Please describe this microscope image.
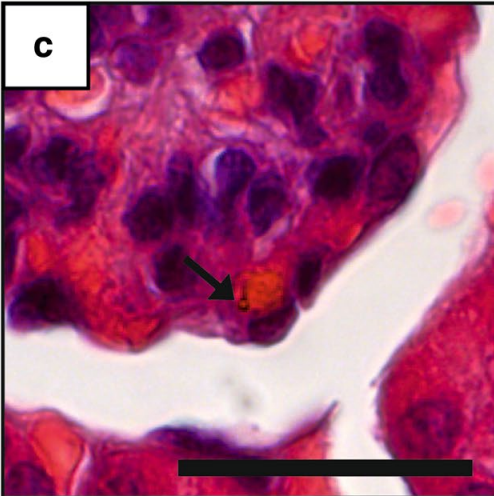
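This is a renal glomerulus: a compact, rounded tuft crowded with dark purple, oval nuclei set among pink to red material. The red material includes red blood cells within the capillary loops. The tuft is bordered by a clear white space that separates it from the surrounding pink tissue, which lies at the lower right. Near the lower part of the tuft there is a single small, refractile orange-brown granular deposit lying among the cells.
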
